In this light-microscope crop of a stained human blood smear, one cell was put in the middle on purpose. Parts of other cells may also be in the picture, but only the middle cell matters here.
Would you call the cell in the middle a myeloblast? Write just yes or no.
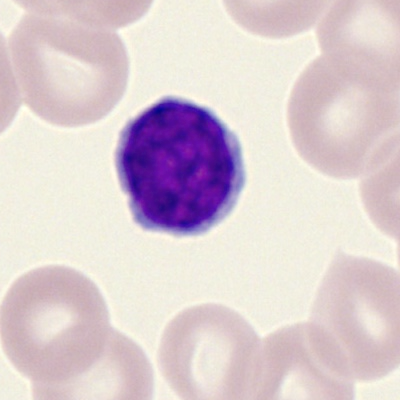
no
